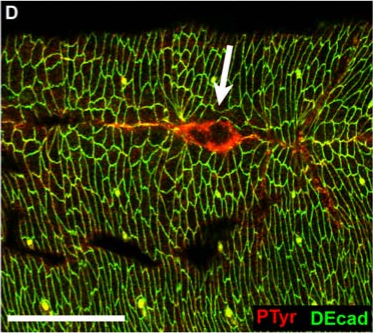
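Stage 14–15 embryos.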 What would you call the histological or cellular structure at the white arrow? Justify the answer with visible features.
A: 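The arrow points to a red-rich knot on the seam where the two cell sheets meet. Cell outlines around the knot radiate and bunch toward it.
Conclusion: dorsal pucker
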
